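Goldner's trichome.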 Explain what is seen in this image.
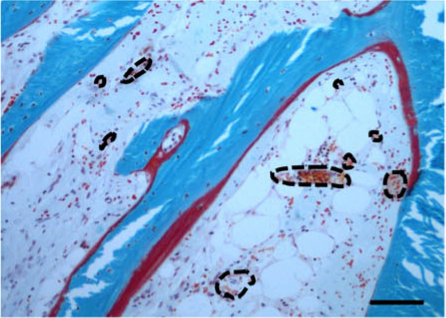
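This is bone with broad blue-green trabeculae crossing the field, with small lacunae scattered in them and a red seam lining parts of their surfaces. Between the trabeculae lies soft tissue with many small red-stained nuclei and, at the right, a cluster of large clear rounded spaces. A handful of small blood vessels are traced with dashed lines in this soft tissue, one of them elongated and filled with red-orange cells.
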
